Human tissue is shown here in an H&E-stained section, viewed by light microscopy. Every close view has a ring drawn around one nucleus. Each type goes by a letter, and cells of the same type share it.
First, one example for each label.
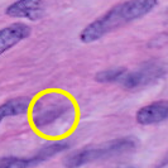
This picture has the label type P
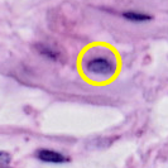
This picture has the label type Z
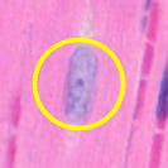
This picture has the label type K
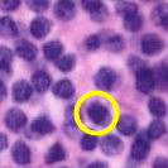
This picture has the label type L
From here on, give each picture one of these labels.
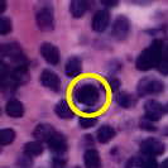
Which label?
type L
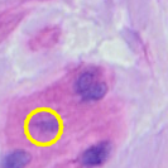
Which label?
type P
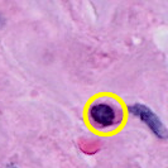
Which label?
type Z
